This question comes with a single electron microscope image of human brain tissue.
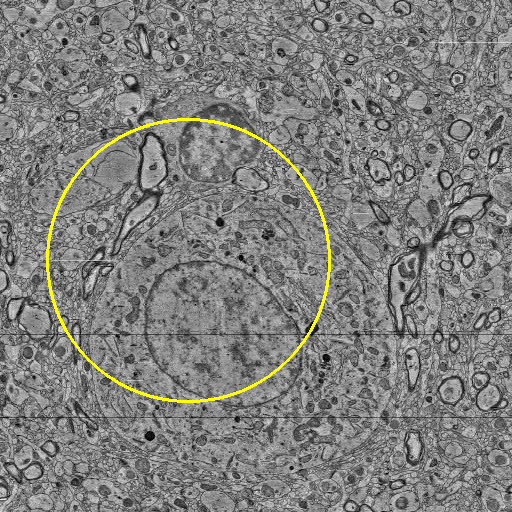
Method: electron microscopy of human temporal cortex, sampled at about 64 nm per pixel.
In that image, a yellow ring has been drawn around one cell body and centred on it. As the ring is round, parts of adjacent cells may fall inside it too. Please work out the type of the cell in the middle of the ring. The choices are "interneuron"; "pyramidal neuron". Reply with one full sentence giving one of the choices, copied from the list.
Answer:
Of the choices, an interneuron is the cell sitting in the middle of the ring.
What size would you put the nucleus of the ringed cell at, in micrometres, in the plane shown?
The nucleus comes to roughly 11 by 8 micrometres in this plane.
